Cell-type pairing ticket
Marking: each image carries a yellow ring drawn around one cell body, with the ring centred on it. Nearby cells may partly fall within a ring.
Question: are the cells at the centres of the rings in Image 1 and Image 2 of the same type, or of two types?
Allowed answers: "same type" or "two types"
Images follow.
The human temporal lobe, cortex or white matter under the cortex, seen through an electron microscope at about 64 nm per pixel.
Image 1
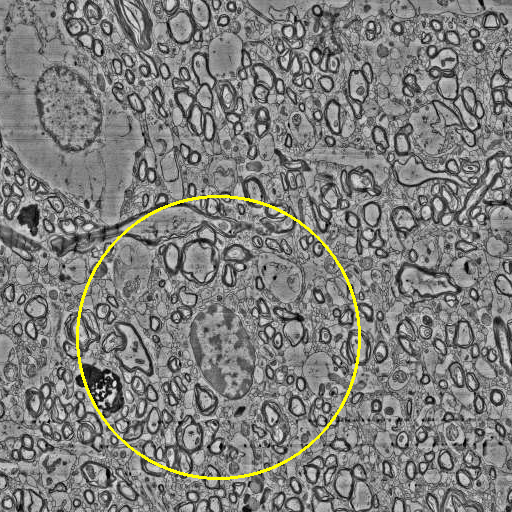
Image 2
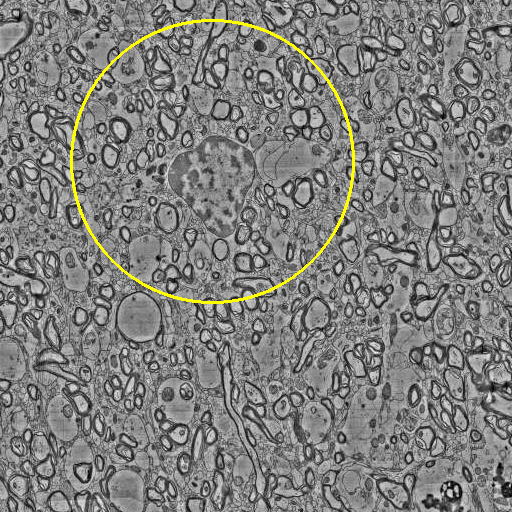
same type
